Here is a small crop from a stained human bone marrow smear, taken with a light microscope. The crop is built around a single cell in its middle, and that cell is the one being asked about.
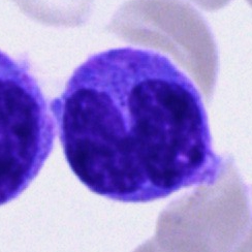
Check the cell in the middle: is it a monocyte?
yes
